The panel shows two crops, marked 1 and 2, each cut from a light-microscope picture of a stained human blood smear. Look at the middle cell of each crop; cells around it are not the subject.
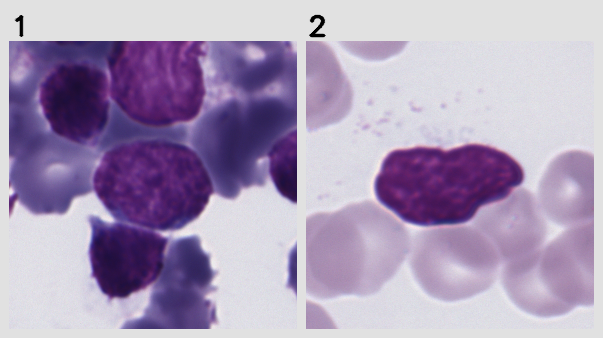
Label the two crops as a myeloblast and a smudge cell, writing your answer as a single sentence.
Crop 1 is a myeloblast, with crop 2 being a smudge cell.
